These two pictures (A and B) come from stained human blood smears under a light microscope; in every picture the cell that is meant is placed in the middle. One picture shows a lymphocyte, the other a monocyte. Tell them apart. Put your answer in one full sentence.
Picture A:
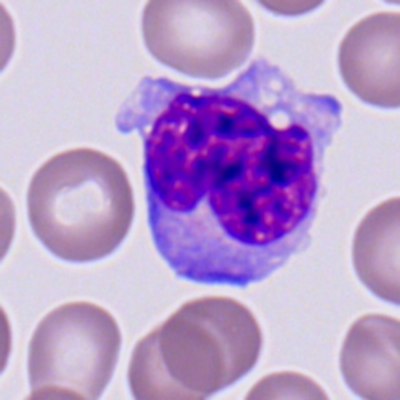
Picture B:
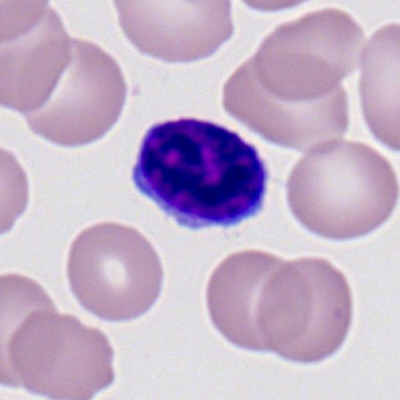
Picture A shows a monocyte and picture B shows a lymphocyte.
